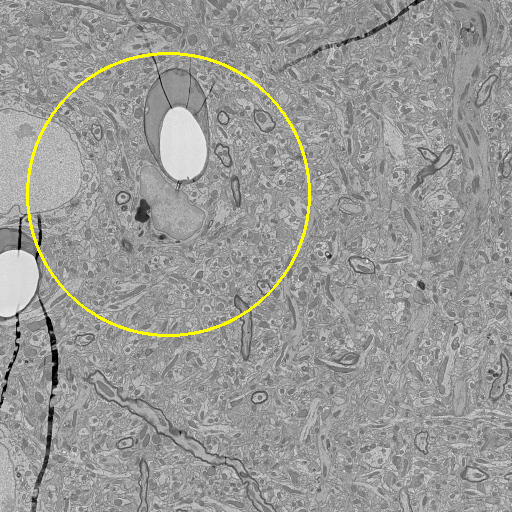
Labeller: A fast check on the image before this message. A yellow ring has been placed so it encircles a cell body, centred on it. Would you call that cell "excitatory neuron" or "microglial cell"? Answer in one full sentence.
In this image, a microglial cell is the cell on which the yellow ring is centred.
